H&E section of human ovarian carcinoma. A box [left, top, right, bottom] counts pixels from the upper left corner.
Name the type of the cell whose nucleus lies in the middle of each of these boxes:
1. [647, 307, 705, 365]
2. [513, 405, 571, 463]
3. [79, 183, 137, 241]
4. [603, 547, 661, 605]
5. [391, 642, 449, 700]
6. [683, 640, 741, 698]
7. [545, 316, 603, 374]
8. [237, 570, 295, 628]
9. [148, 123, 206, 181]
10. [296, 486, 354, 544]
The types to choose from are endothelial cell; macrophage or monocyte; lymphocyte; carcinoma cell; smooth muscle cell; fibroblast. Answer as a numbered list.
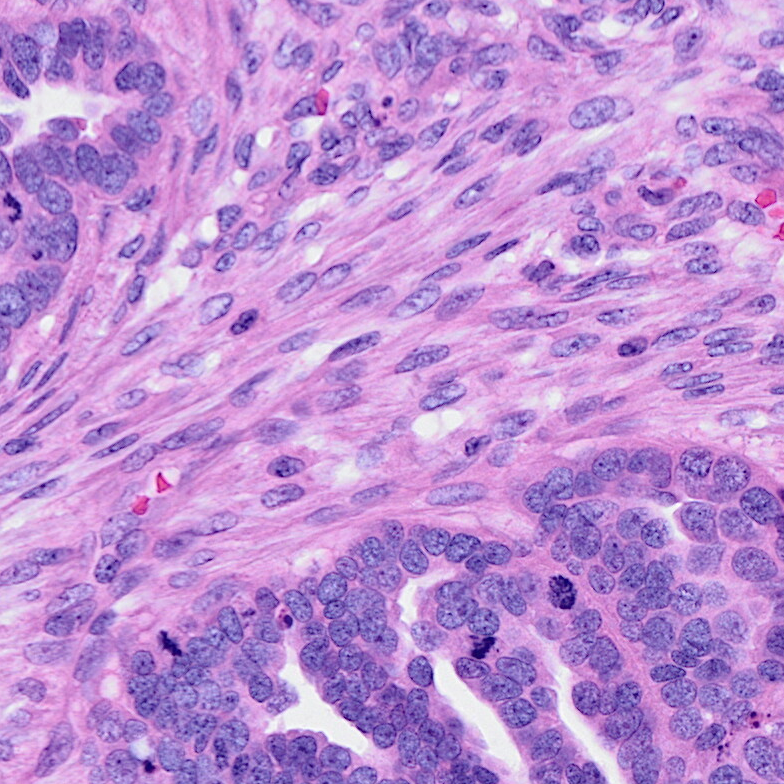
1. fibroblast
2. fibroblast
3. fibroblast
4. carcinoma cell
5. carcinoma cell
6. carcinoma cell
7. fibroblast
8. carcinoma cell
9. fibroblast
10. fibroblast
